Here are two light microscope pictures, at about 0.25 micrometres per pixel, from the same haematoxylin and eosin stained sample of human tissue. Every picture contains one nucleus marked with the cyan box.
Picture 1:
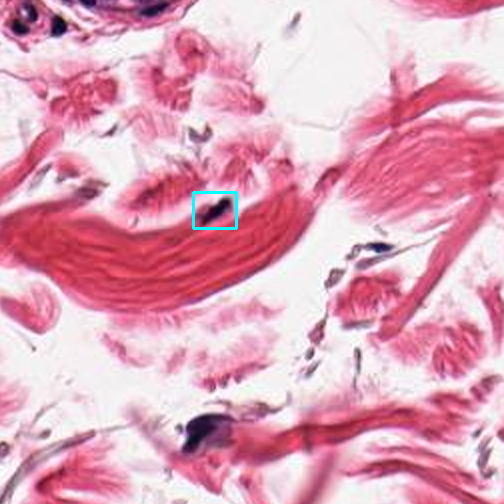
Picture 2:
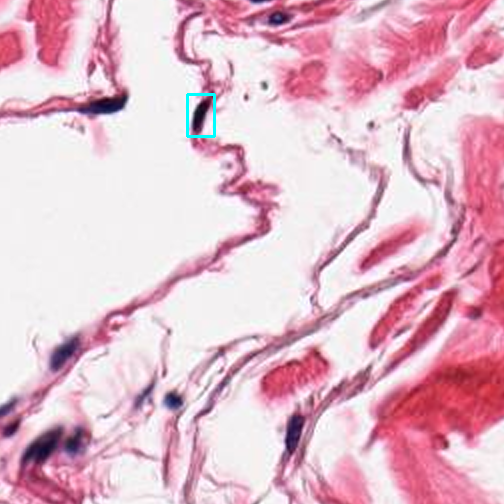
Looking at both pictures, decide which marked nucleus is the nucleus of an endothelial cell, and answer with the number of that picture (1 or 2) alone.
2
